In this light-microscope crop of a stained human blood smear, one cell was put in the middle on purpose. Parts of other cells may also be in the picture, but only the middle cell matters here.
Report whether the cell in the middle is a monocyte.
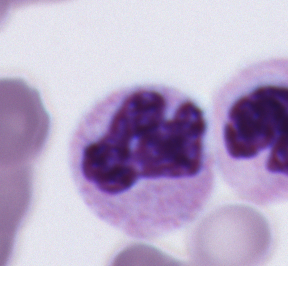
no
